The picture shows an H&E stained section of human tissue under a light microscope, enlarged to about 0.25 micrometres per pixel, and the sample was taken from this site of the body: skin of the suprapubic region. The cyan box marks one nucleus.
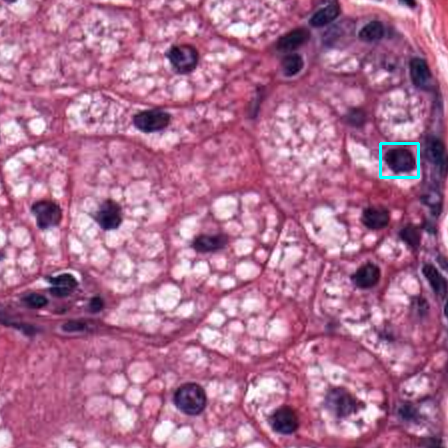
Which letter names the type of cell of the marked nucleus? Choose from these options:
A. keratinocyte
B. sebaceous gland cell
B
